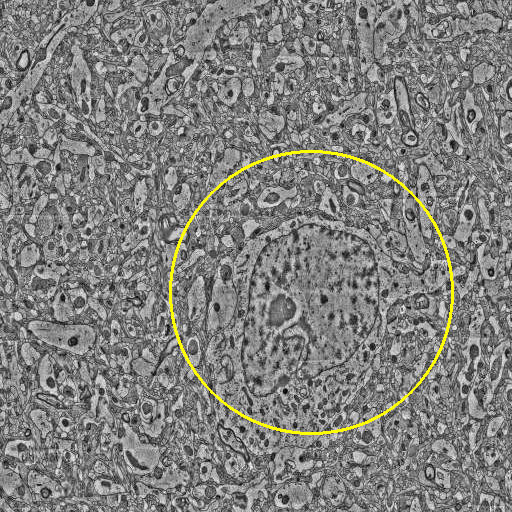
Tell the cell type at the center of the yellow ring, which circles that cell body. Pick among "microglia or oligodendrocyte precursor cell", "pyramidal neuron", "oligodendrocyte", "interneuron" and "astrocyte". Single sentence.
The ring is centered on the body of an interneuron.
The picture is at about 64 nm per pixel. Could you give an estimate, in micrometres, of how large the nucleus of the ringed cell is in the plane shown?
The ringed cell's nucleus is about 11 micrometres long and 9 micrometres wide in this plane.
